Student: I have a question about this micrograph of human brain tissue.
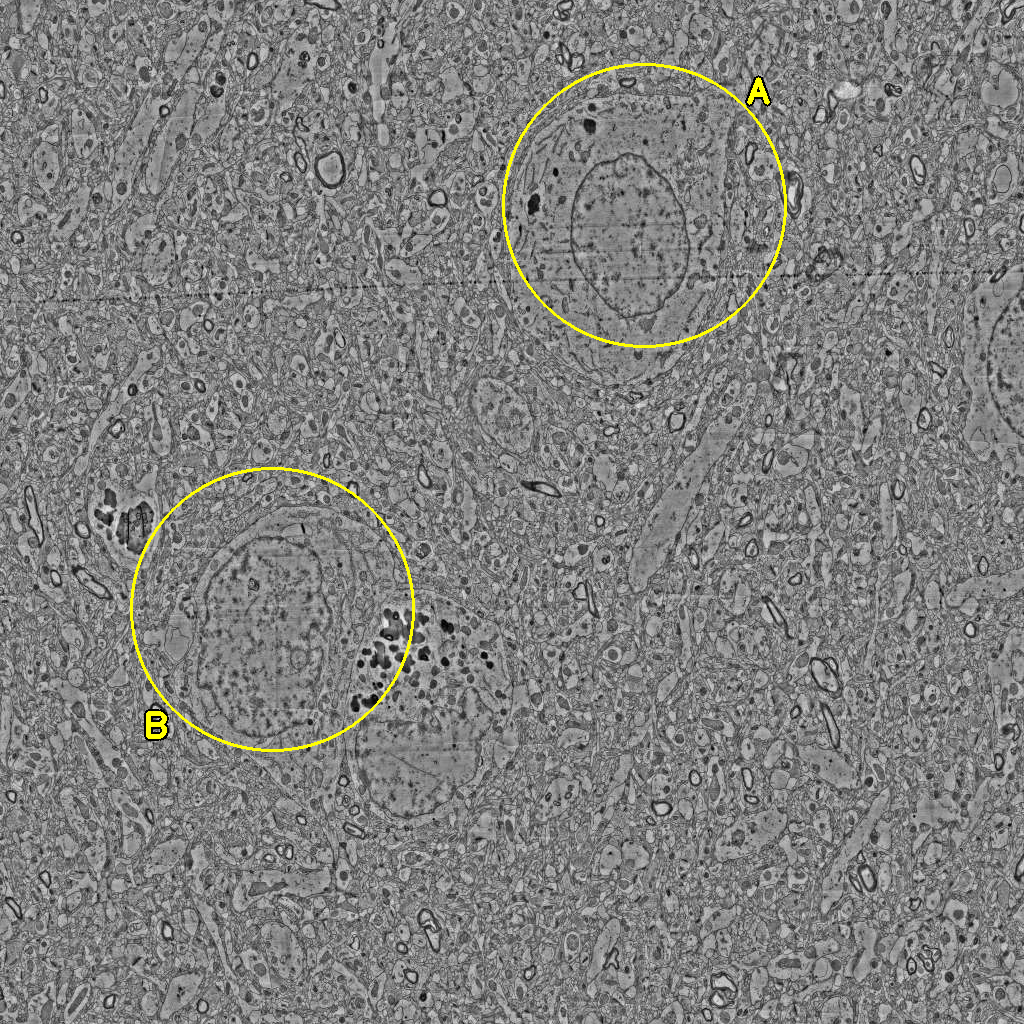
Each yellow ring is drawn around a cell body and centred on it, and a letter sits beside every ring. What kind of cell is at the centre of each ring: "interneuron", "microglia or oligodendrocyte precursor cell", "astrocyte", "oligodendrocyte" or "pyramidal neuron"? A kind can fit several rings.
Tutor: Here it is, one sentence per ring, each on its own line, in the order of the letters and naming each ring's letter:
For ring A, the cell at the centre is a pyramidal neuron.
For ring B, the cell at the centre is an interneuron.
